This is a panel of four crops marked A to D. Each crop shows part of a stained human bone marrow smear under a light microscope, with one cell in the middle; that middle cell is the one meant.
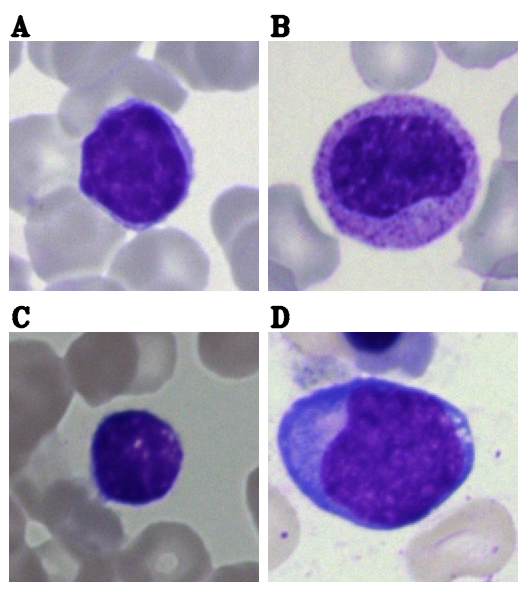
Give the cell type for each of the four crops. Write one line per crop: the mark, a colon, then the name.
A: lymphocyte
B: myelocyte
C: lymphocyte
D: blast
